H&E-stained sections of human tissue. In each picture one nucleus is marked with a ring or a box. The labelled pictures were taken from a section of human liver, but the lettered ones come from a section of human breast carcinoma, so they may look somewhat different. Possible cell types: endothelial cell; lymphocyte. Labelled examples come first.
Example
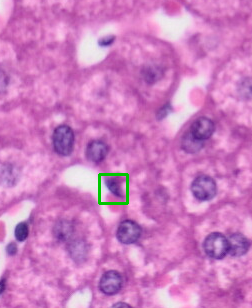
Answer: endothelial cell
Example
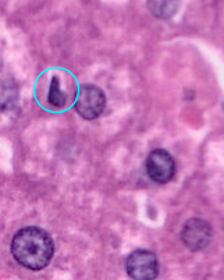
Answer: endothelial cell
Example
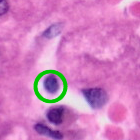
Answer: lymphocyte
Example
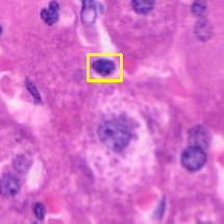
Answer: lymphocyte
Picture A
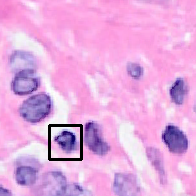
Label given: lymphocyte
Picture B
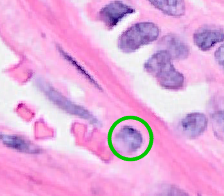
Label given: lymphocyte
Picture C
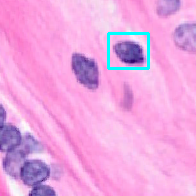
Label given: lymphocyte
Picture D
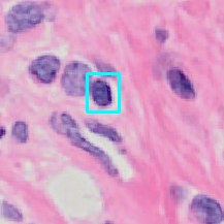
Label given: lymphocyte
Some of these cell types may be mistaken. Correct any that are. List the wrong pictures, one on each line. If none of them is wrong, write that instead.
B: change lymphocyte to endothelial cell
